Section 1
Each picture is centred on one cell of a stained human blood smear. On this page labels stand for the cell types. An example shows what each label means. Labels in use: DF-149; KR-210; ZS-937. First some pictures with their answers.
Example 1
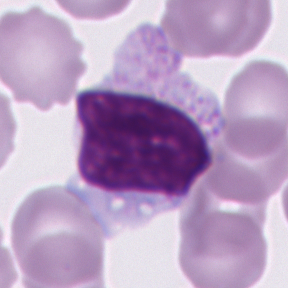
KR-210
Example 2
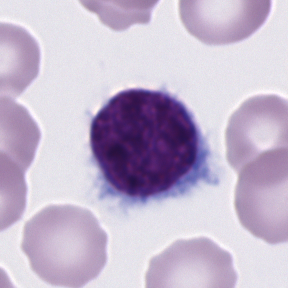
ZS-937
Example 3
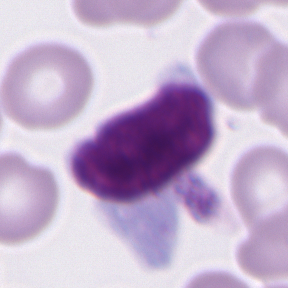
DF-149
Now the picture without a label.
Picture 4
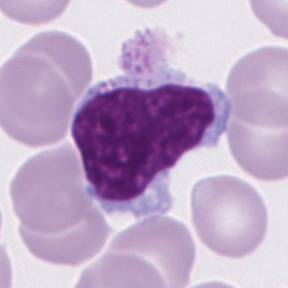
KR-210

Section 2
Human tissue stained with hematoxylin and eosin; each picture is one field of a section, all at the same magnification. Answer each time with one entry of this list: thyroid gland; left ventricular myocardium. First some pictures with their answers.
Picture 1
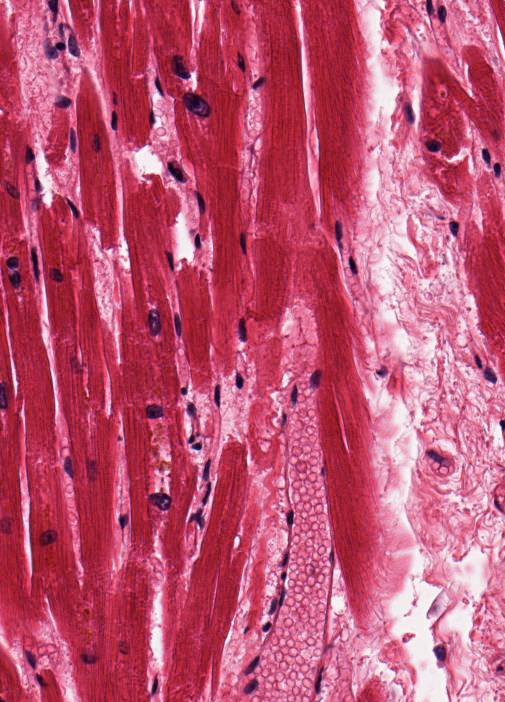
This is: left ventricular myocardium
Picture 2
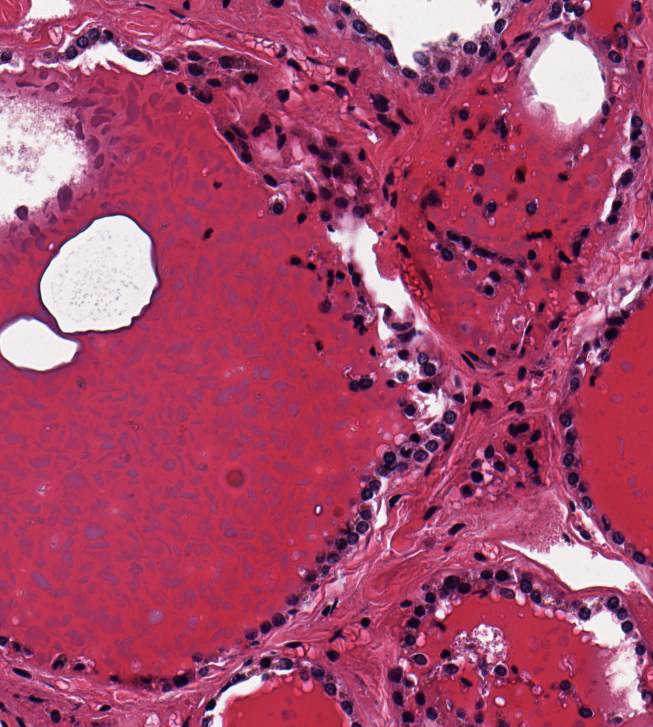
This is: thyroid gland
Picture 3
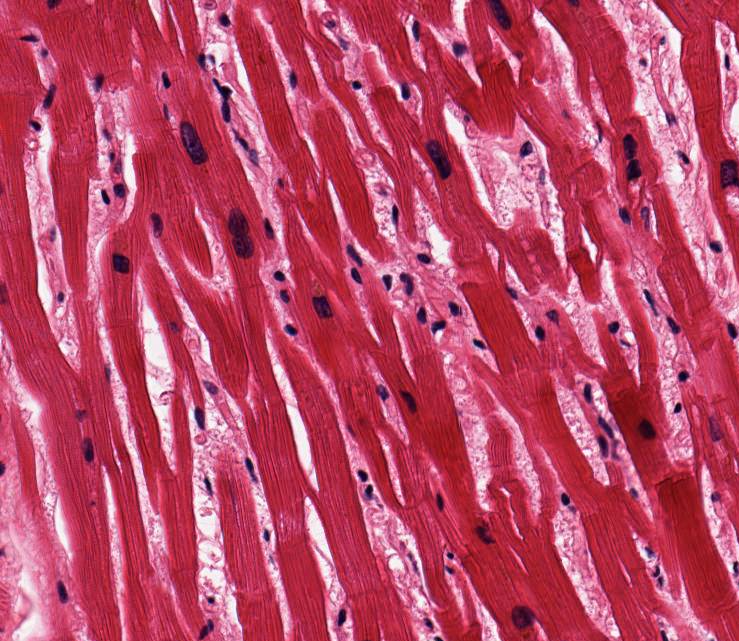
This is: left ventricular myocardium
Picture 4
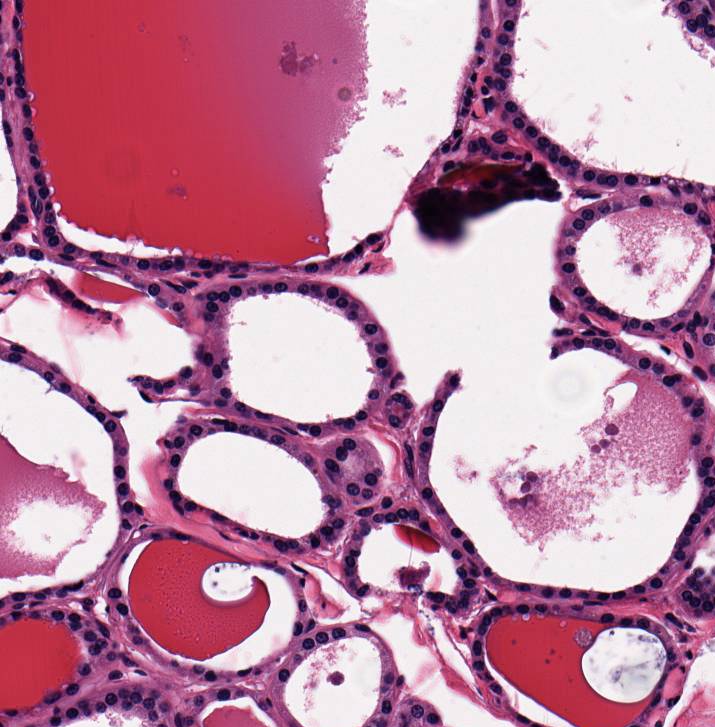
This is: thyroid gland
